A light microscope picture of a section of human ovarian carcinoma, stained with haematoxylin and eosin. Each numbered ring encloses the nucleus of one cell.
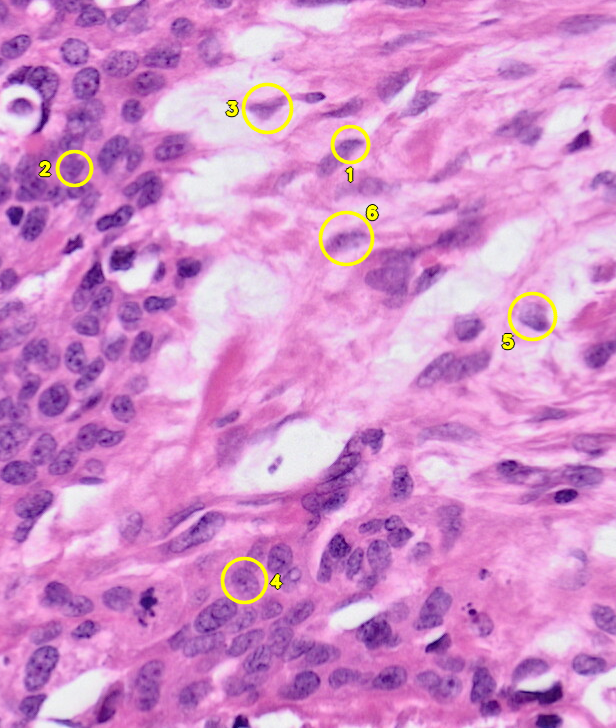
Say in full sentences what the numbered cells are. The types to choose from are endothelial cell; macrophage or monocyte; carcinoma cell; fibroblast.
Cells 1, 3, 5 and 6 are fibroblasts. Cells 2 and 4 are carcinoma cells.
